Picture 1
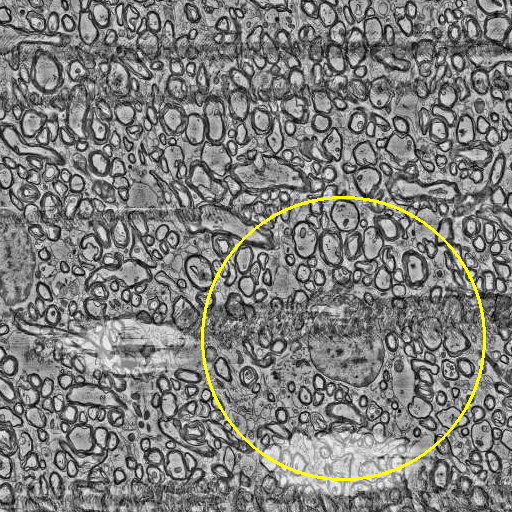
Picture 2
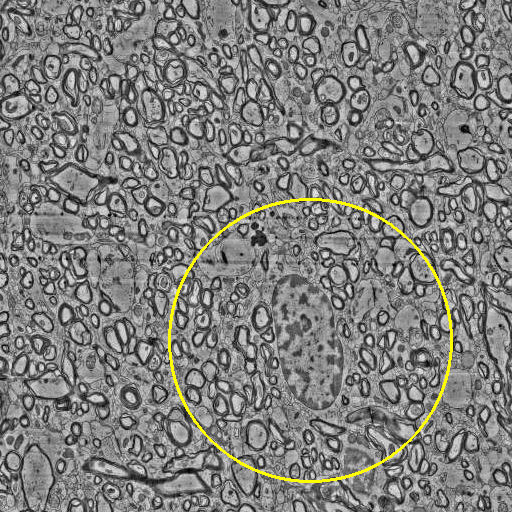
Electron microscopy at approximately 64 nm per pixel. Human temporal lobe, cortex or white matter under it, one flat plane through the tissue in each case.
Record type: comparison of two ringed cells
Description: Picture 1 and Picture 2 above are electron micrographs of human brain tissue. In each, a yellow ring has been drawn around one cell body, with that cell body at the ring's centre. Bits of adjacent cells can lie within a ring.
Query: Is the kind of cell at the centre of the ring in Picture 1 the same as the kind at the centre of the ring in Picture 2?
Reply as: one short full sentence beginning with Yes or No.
Yes, the two ringed cells are of the same kind.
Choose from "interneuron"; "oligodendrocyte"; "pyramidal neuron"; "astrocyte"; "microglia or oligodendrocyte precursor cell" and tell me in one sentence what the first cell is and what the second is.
The ring centre holds a microglial cell or oligodendrocyte precursor cell in each of the two pictures.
